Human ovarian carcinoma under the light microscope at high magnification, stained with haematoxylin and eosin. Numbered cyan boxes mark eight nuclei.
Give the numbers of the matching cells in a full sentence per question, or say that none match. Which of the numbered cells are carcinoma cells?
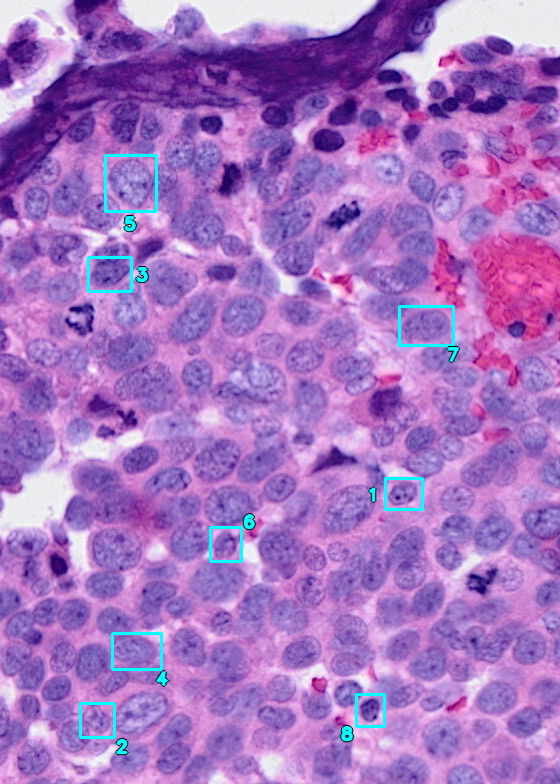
Cells 3, 4, 5 and 7 are recognised here as carcinoma cells.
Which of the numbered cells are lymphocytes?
Only the cell numbered 8 qualifies as a lymphocyte among the marked cells.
